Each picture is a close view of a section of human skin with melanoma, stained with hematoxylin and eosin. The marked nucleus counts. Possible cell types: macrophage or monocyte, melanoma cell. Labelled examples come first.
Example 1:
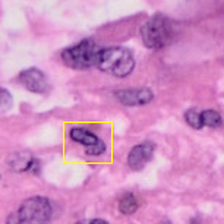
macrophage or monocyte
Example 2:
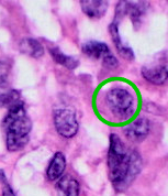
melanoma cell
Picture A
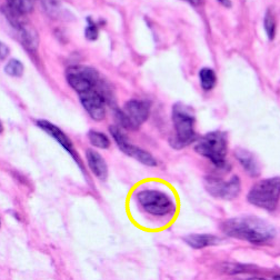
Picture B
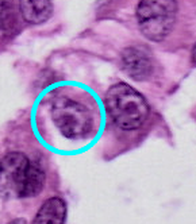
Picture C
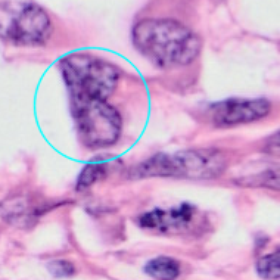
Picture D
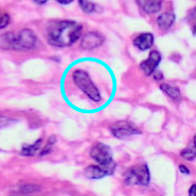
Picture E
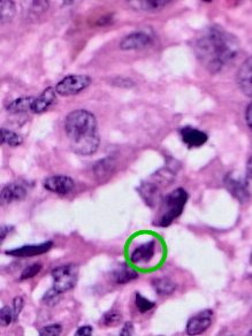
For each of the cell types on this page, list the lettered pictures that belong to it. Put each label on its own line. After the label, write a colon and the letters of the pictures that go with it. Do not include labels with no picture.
macrophage or monocyte: A, D
melanoma cell: B, C, E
